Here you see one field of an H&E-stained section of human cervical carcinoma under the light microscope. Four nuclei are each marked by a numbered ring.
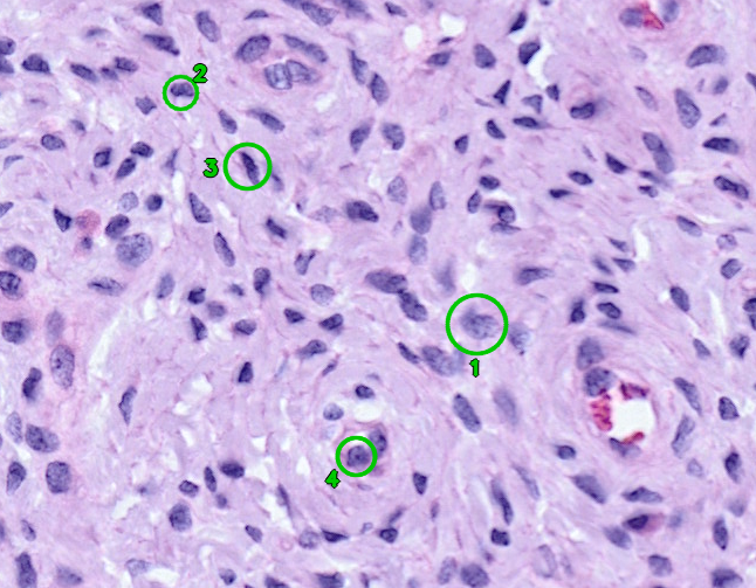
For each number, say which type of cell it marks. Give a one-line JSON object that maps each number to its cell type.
{"1": "fibroblast", "2": "fibroblast", "3": "fibroblast", "4": "endothelial cell"}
